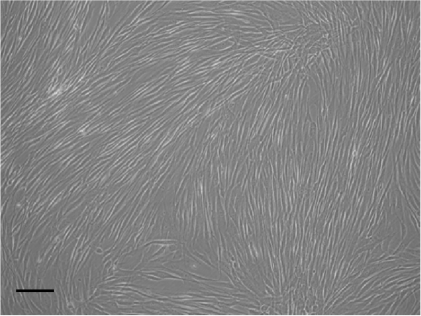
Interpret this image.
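The whole field is filled with slender, spindle-shaped cells lying flat on the culture surface. They are packed side by side in long parallel streams that sweep across the field in slightly different directions, forming a swirling pattern. Individual cell bodies are narrow with tapering ends, and little or no empty surface is left between them. Only a few bright, rounded refractile cells stand out against the sheet. This is a densely confluent monolayer of fibroblasts.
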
